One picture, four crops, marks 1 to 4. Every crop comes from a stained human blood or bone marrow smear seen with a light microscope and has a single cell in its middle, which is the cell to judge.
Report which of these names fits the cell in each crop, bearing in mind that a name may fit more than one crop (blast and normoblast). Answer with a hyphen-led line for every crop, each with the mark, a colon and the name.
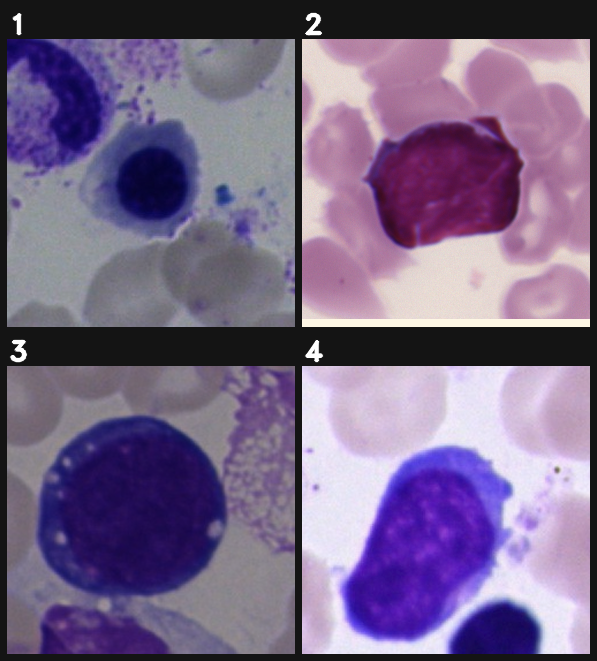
- 1: normoblast
- 2: blast
- 3: blast
- 4: blast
